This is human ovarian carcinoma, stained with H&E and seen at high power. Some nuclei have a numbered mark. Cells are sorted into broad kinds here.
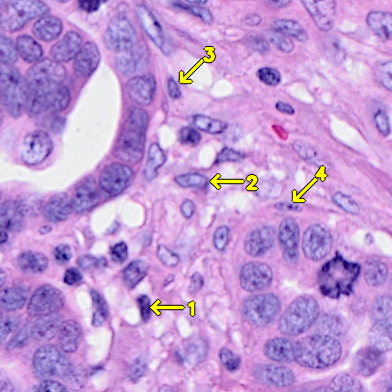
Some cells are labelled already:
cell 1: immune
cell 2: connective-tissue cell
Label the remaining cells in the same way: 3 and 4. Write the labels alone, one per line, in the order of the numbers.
immune
connective-tissue cell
